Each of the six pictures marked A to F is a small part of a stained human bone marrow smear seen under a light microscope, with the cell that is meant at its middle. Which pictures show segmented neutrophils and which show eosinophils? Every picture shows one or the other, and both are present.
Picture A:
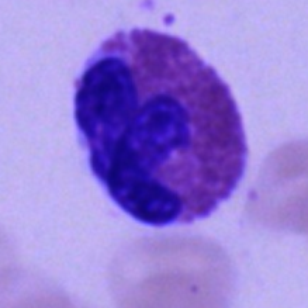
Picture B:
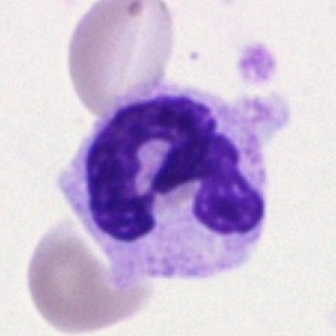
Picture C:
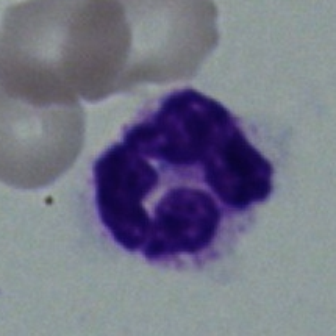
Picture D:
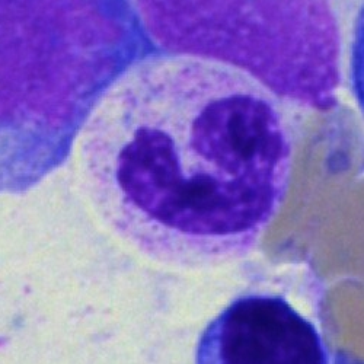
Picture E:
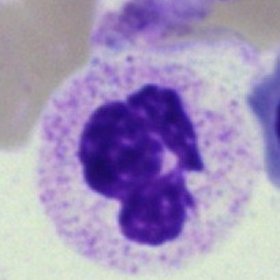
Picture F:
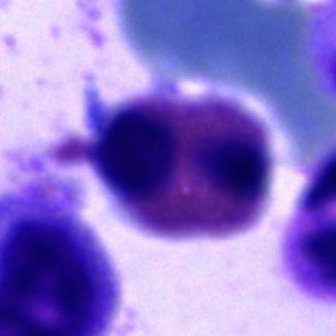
A: eosinophil
B: segmented neutrophil
C: segmented neutrophil
D: segmented neutrophil
E: segmented neutrophil
F: eosinophil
